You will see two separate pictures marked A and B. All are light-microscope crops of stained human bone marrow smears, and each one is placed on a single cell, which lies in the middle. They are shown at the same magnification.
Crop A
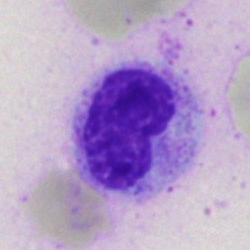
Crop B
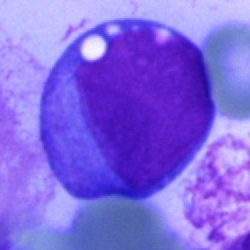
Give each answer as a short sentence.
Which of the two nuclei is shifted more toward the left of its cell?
In crop A the nucleus is shifted more toward the left.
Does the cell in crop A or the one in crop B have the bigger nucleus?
It is the nucleus in crop B, about 2 times as large in area as the one in crop A.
